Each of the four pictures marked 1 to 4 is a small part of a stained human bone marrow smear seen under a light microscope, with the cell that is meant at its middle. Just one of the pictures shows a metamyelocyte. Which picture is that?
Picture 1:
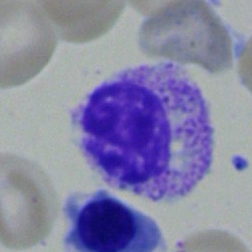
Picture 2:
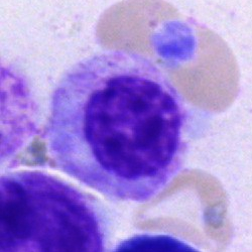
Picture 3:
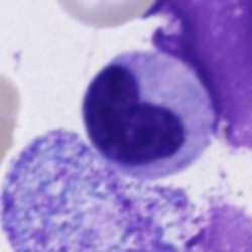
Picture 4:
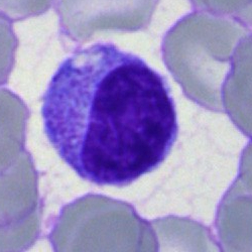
3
